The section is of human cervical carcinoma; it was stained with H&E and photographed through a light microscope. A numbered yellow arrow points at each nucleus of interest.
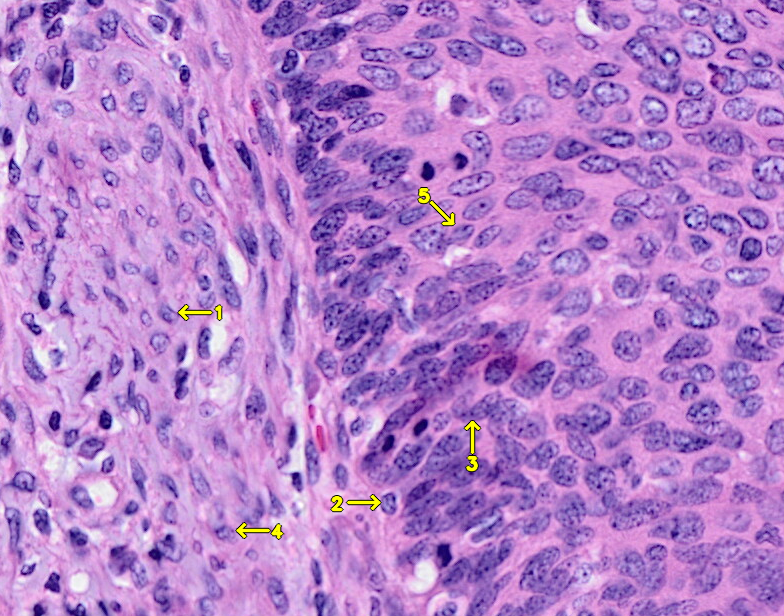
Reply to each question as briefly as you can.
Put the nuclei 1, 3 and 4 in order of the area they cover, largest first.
3, 4, 1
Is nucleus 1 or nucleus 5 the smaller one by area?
1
